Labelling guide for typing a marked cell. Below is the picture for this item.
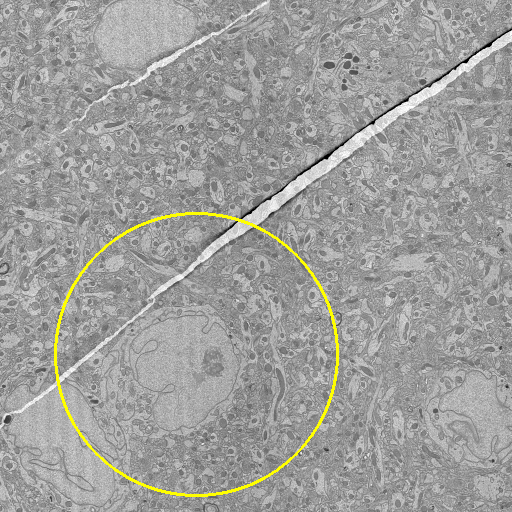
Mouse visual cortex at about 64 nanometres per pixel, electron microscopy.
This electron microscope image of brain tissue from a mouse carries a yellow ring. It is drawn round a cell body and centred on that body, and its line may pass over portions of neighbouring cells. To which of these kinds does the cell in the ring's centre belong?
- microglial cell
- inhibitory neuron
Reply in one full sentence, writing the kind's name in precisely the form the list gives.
Here we have an inhibitory neuron at the centre of the yellow ring in the picture.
